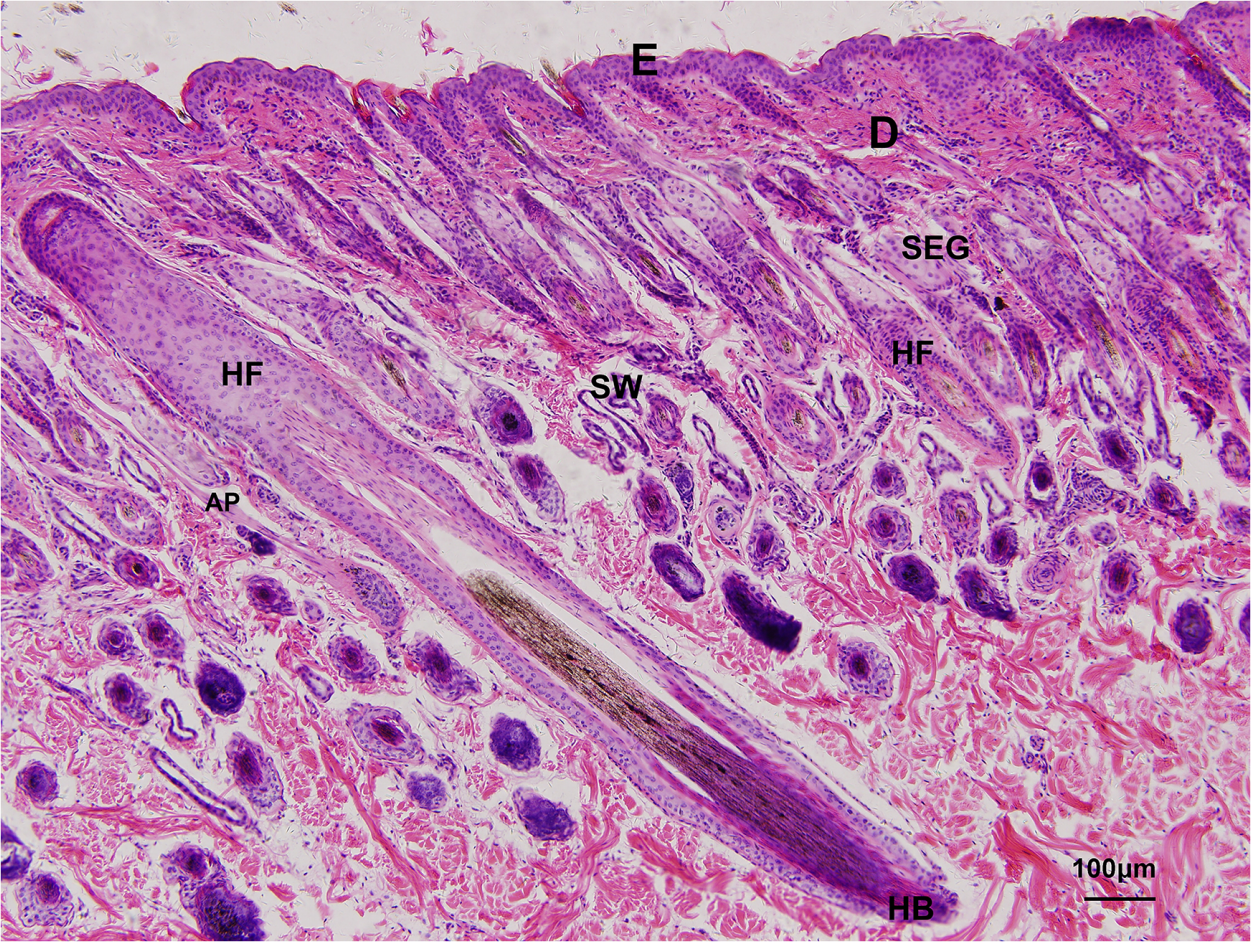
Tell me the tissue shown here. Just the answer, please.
Skin.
